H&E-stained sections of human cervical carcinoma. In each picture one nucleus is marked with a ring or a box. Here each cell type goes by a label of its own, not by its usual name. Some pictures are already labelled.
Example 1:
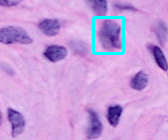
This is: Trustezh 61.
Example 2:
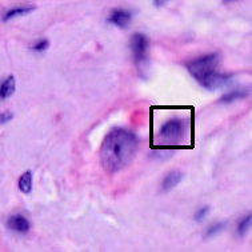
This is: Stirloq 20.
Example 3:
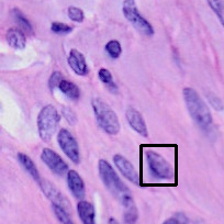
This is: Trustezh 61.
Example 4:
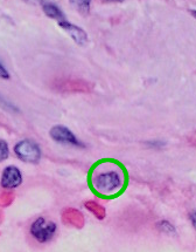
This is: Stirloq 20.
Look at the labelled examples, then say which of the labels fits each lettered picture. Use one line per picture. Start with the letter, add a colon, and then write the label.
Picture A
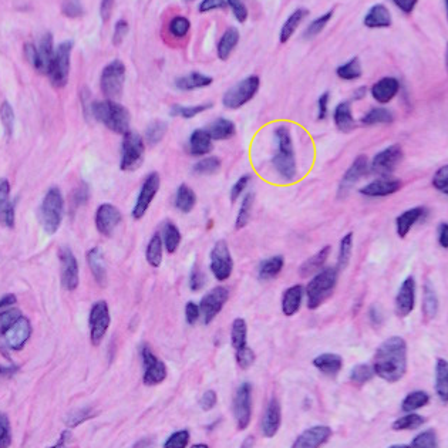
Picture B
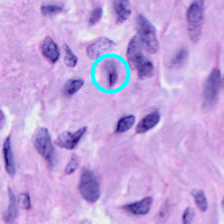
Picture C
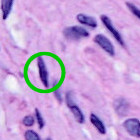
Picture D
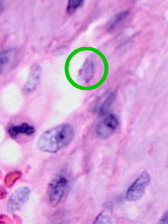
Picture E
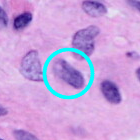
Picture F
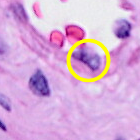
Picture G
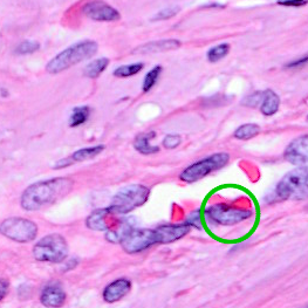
A: Trustezh 61.
B: Trustezh 61.
C: Trustezh 61.
D: Stirloq 20.
E: Trustezh 61.
F: Stirloq 20.
G: Stirloq 20.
